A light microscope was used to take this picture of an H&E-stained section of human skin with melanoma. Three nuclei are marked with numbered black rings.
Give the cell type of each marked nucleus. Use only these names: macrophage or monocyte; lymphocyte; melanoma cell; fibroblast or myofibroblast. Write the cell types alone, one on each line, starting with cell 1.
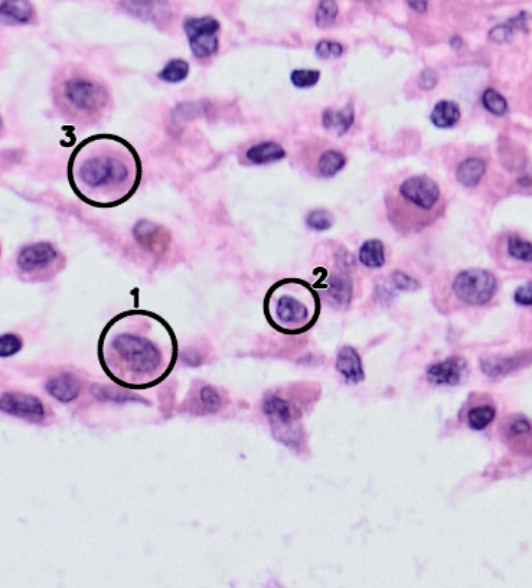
macrophage or monocyte
lymphocyte
macrophage or monocyte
